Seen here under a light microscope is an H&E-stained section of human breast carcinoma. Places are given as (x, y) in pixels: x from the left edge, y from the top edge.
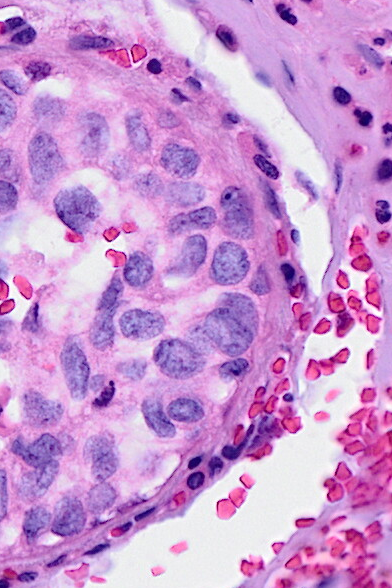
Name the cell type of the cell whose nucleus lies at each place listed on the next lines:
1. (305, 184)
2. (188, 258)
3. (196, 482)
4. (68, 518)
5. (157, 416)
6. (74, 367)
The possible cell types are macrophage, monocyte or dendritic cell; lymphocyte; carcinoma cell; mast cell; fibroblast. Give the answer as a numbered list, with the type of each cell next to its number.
1. fibroblast
2. carcinoma cell
3. mast cell
4. carcinoma cell
5. carcinoma cell
6. carcinoma cell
